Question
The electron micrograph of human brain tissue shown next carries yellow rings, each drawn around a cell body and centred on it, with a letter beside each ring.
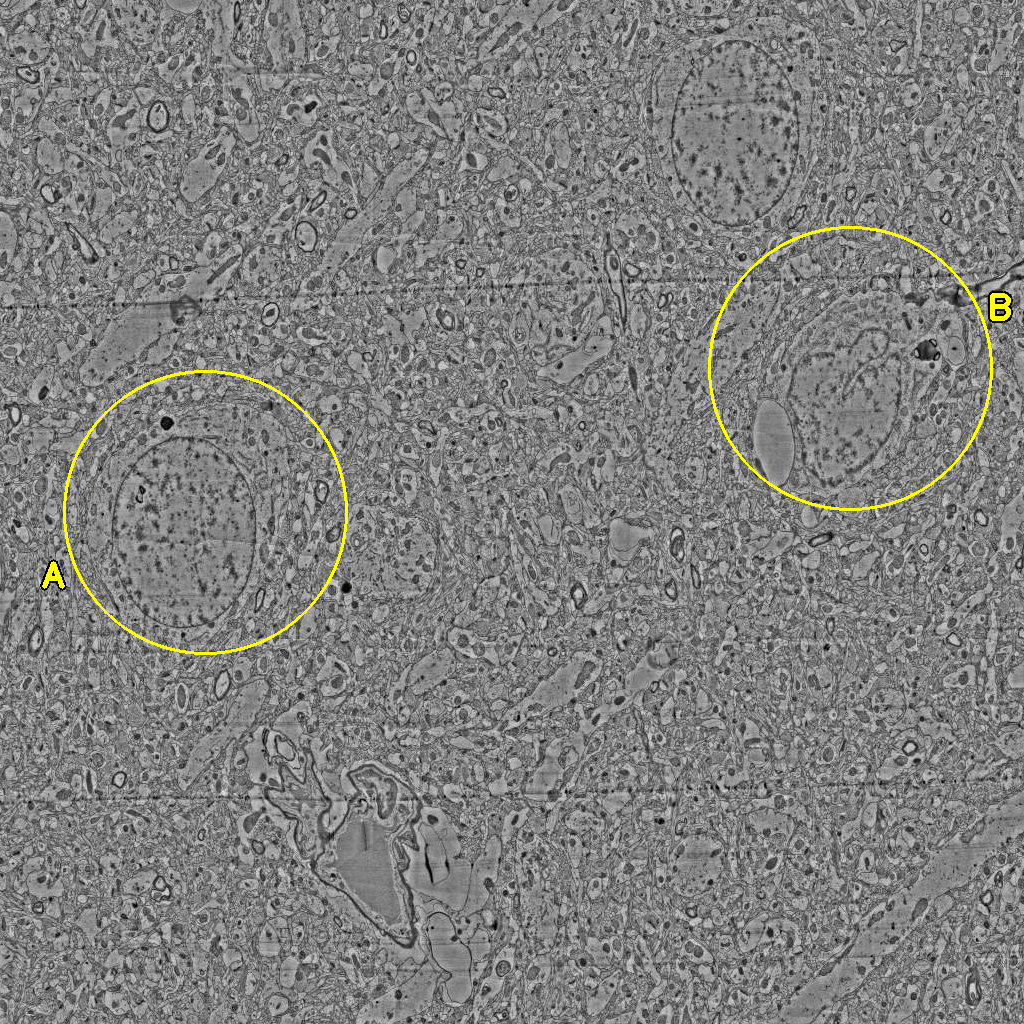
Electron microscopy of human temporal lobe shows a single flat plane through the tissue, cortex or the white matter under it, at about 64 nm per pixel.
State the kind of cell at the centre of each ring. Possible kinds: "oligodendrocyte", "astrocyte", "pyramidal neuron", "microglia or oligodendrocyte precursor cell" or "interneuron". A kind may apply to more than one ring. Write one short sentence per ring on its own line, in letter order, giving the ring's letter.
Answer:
The cell centred in ring A is a pyramidal neuron.
The cell centred in ring B is an interneuron.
